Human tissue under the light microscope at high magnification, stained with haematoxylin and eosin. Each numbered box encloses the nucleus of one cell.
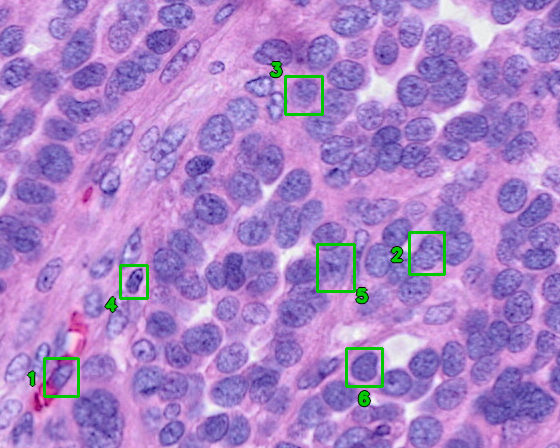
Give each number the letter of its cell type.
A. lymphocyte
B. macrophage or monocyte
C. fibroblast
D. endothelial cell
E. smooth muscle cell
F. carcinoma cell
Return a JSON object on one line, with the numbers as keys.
{"1": "D", "2": "F", "3": "F", "4": "A", "5": "F", "6": "F"}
